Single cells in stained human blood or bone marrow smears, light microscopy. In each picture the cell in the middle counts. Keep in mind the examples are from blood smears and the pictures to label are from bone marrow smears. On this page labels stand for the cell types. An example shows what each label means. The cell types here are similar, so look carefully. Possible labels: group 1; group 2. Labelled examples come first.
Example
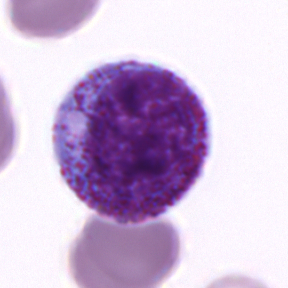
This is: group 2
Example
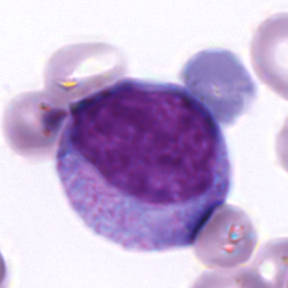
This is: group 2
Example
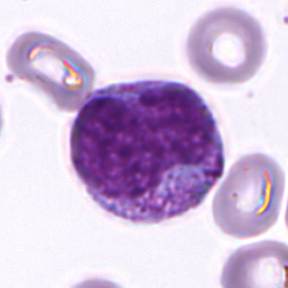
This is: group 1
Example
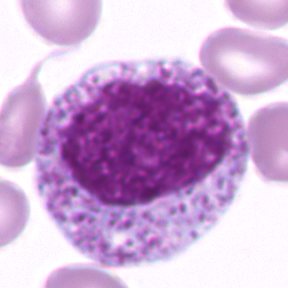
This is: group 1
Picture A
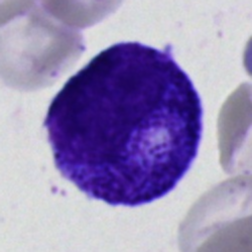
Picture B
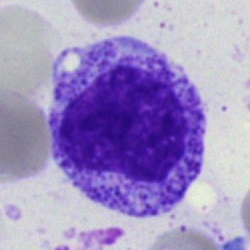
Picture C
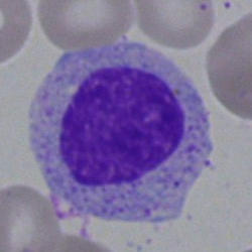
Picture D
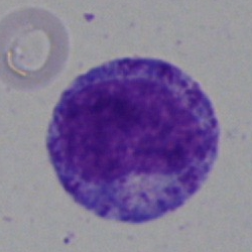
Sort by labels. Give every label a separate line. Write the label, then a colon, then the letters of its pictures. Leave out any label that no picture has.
group 1: C
group 2: A, B, D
